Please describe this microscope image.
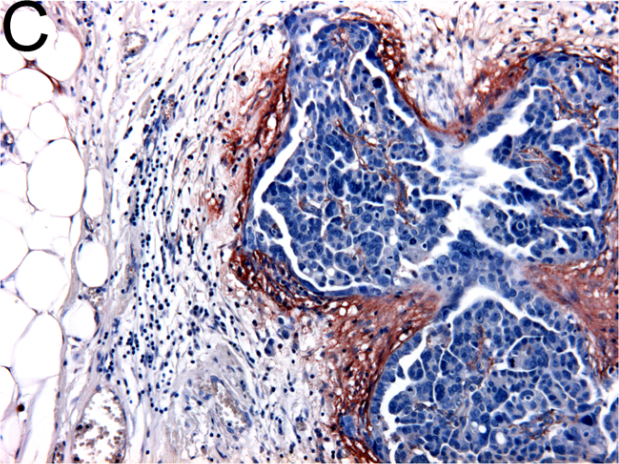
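At the left lie large empty rounded fat cells, bordered by loose fibrous tissue with scattered small dark nuclei. To the right, nests of crowded tumour cells with bluish nuclei are outlined by clefts, and broad bands of brown-stained stroma wrap around and between these nests.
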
